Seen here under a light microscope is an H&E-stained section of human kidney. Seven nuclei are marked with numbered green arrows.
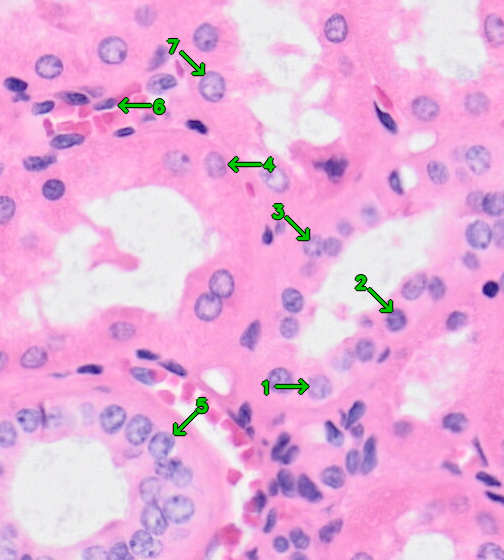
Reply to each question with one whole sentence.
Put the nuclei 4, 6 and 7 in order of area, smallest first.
Smallest first, the nuclei run 6, 4, 7.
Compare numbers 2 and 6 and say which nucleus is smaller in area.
The smaller nucleus is 6, and 2 covers roughly 2 times its area.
